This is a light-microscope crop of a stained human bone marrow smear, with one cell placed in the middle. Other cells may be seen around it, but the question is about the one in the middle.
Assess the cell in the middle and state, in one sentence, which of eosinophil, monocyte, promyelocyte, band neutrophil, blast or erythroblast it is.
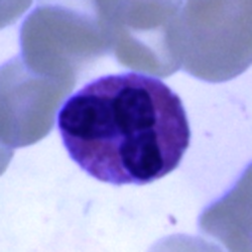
The crop shows an eosinophil in its centre.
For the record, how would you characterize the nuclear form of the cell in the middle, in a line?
We find a nucleus divided into at least two lobes.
